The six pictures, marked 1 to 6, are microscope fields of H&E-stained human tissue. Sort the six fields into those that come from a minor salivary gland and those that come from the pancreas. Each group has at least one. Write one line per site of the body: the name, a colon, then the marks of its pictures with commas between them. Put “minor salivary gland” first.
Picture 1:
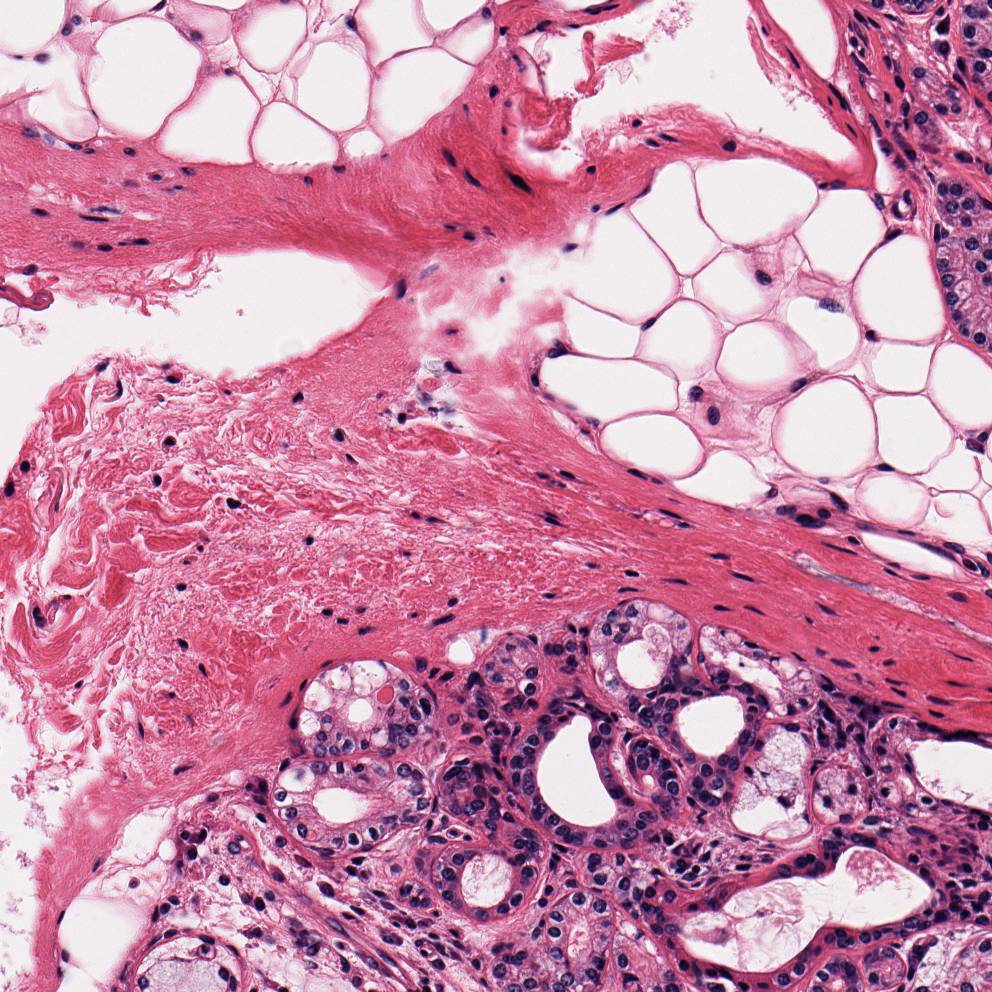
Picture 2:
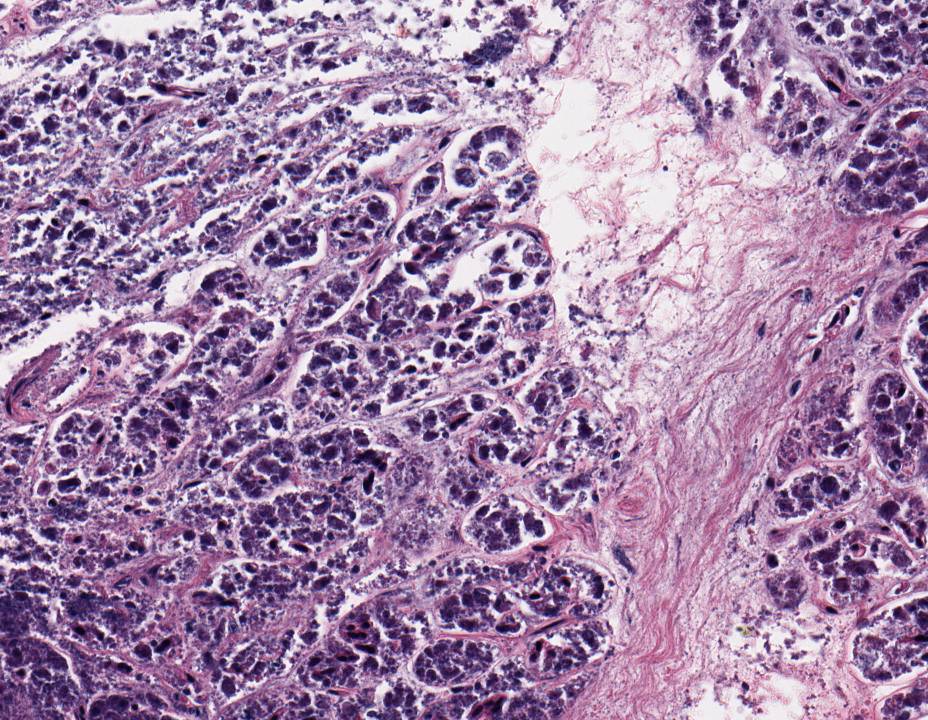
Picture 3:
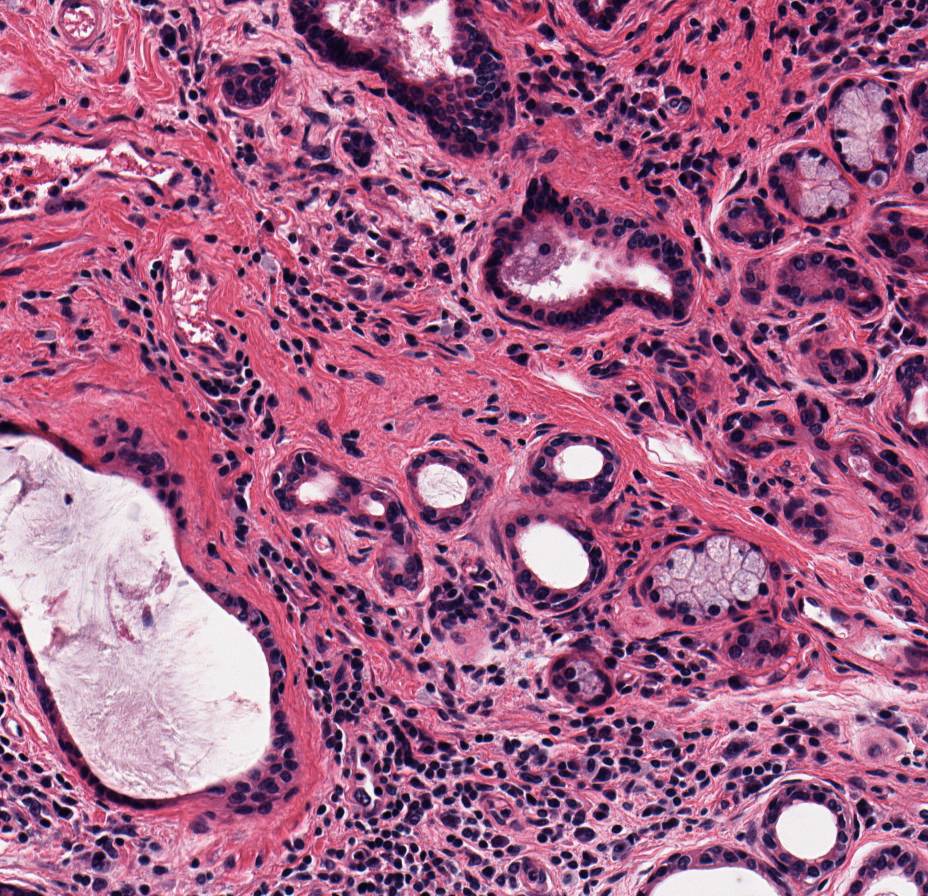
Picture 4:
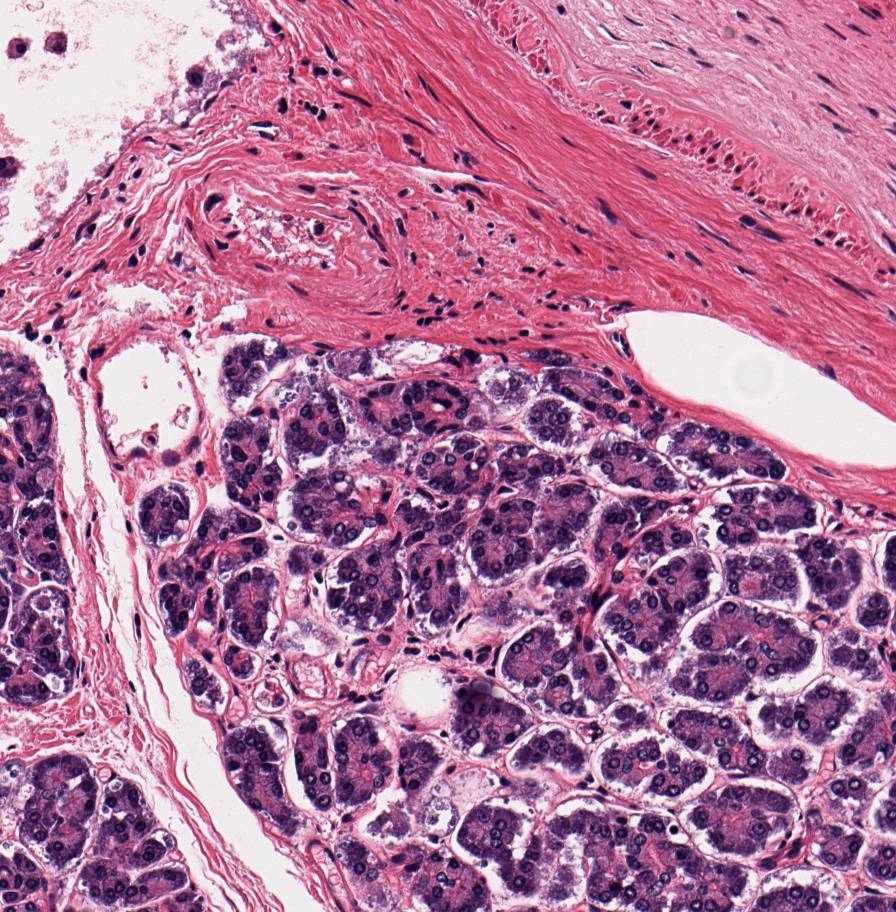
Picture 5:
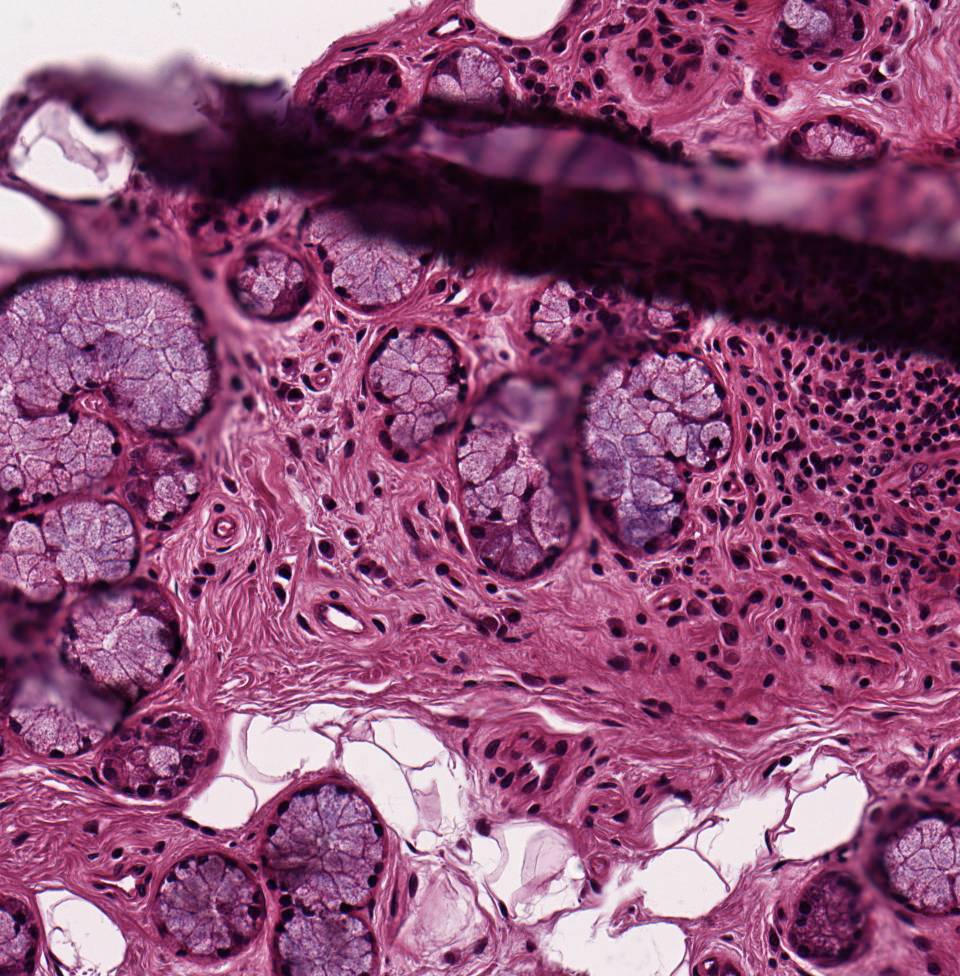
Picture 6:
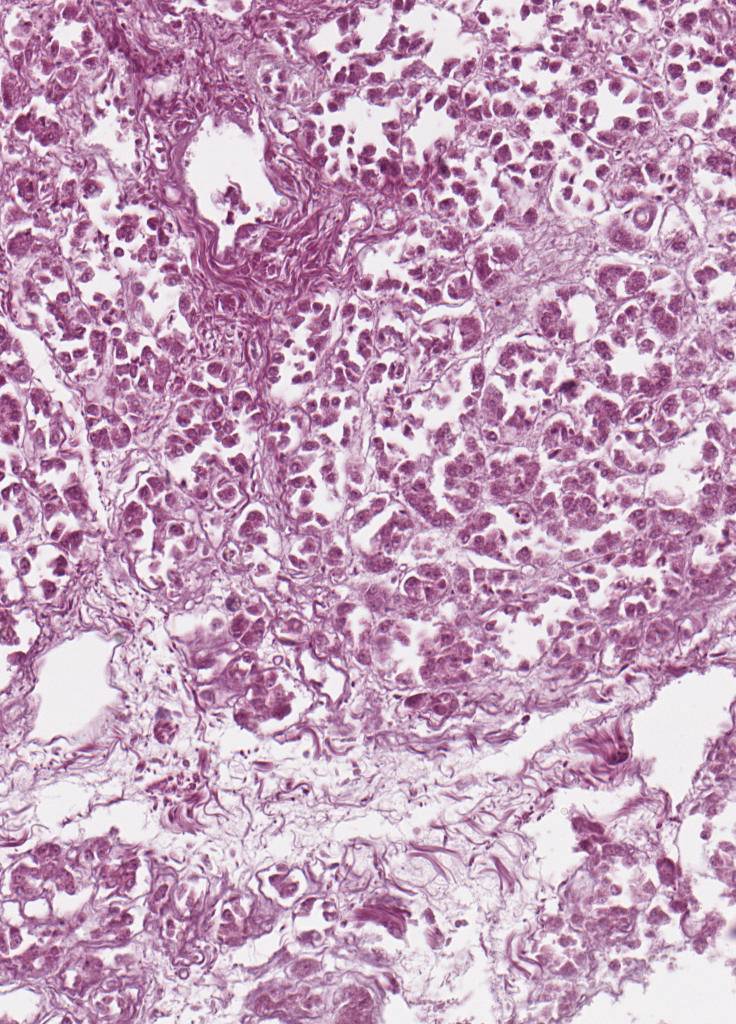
minor salivary gland: 1, 3, 5
pancreas: 2, 4, 6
